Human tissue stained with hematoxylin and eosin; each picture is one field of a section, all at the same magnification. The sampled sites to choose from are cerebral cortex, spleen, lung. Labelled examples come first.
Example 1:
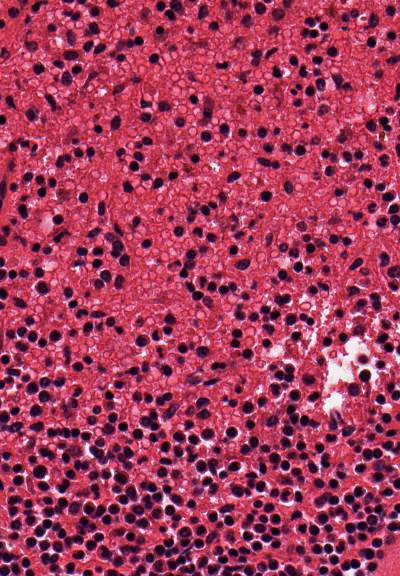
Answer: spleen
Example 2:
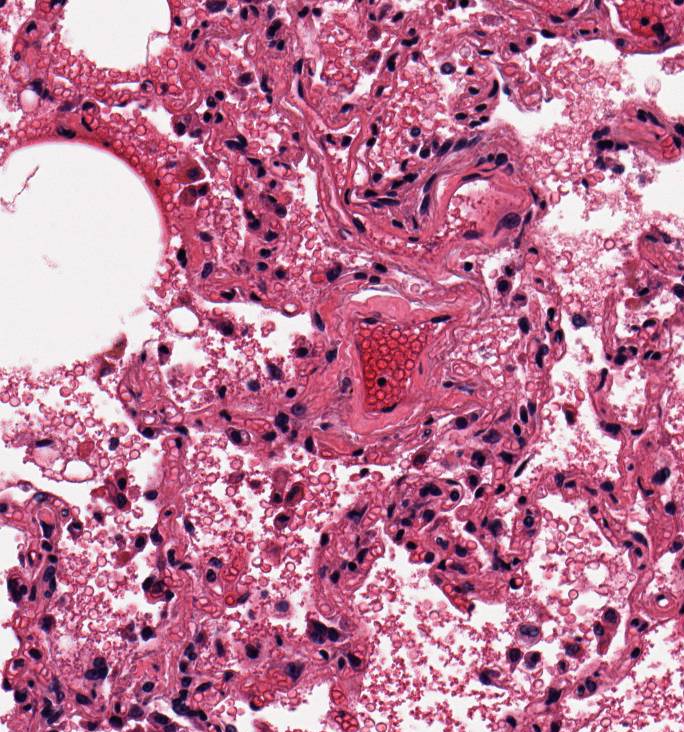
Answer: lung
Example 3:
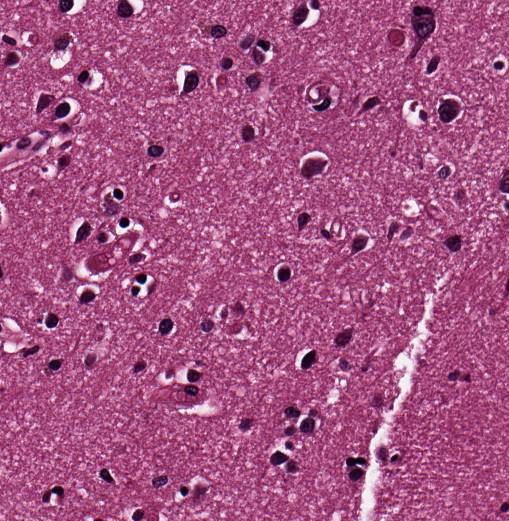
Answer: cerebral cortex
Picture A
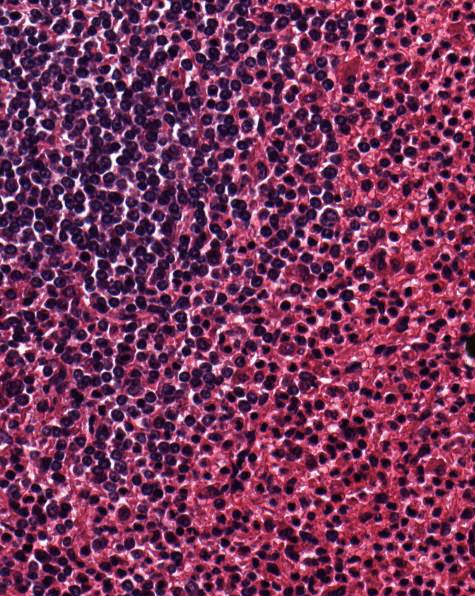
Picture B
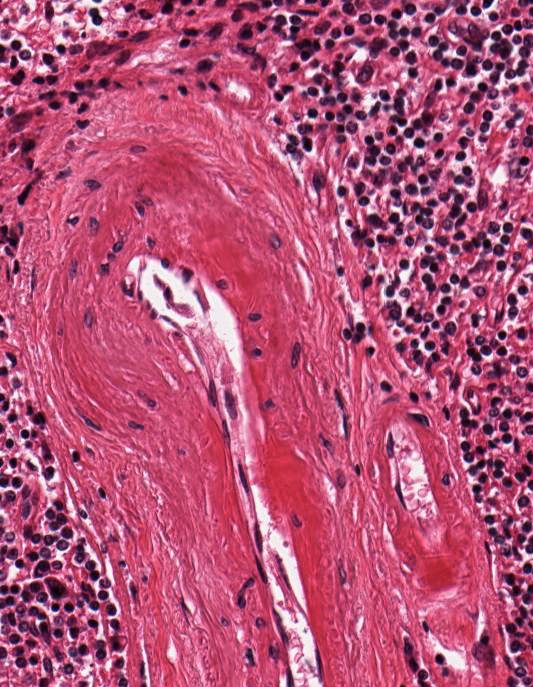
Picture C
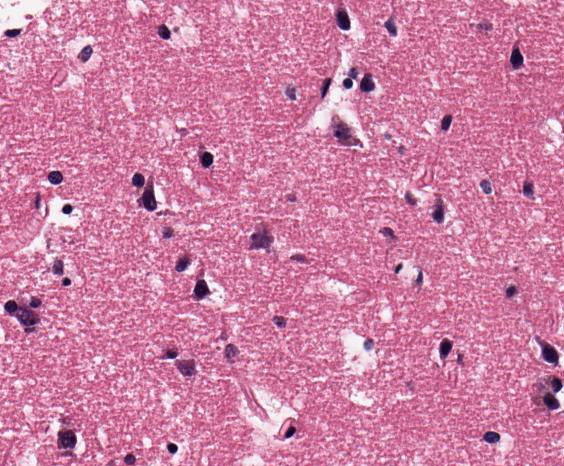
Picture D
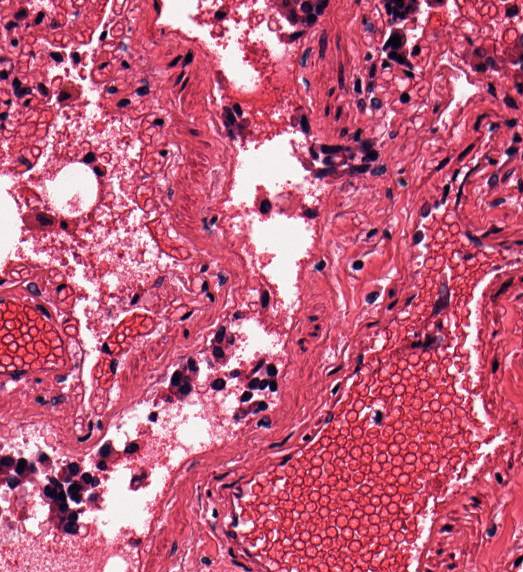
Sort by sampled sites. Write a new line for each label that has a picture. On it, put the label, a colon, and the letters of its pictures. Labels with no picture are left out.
cerebral cortex: C
spleen: A, B
lung: D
